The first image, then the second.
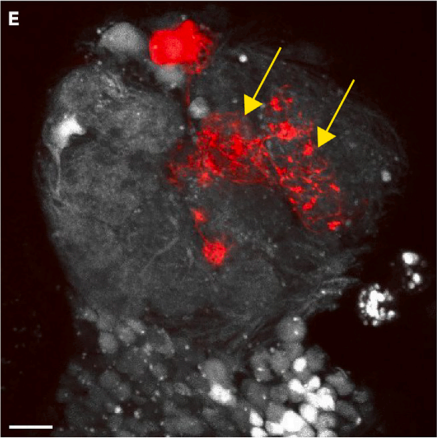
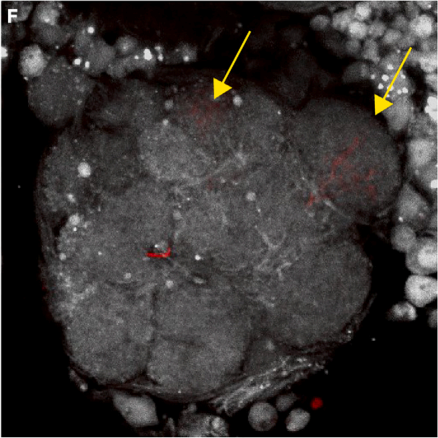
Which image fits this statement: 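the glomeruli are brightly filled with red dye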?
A: the first image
